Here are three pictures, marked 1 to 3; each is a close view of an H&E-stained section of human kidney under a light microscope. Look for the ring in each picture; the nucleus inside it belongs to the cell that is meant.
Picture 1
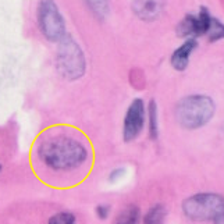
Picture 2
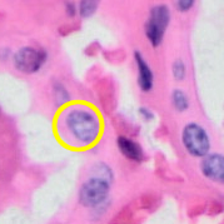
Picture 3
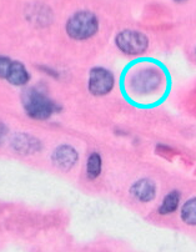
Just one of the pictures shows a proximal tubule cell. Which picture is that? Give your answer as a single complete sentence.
Picture 1 shows the proximal tubule cell.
